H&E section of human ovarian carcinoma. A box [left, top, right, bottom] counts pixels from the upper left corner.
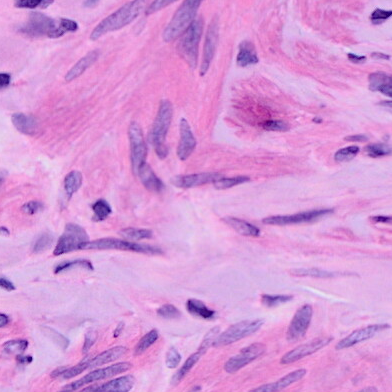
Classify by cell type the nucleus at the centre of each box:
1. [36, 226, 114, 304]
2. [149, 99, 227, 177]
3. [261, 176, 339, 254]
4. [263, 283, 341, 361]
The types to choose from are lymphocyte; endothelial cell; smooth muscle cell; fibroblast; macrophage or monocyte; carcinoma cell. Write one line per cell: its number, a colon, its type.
1: fibroblast
2: smooth muscle cell
3: smooth muscle cell
4: smooth muscle cell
